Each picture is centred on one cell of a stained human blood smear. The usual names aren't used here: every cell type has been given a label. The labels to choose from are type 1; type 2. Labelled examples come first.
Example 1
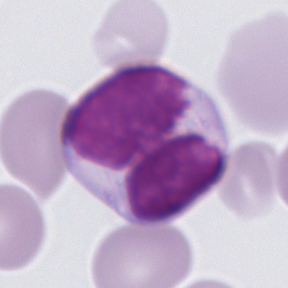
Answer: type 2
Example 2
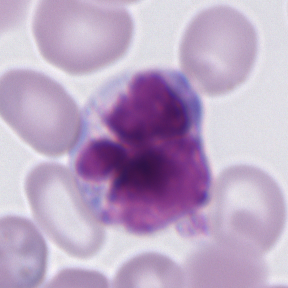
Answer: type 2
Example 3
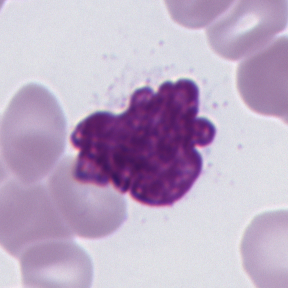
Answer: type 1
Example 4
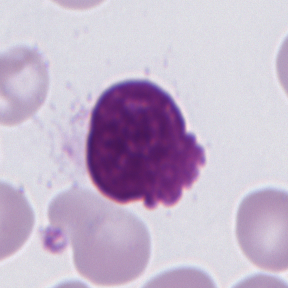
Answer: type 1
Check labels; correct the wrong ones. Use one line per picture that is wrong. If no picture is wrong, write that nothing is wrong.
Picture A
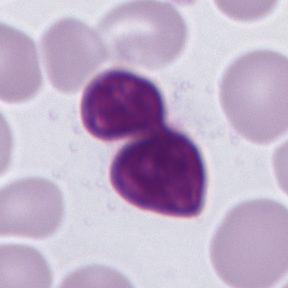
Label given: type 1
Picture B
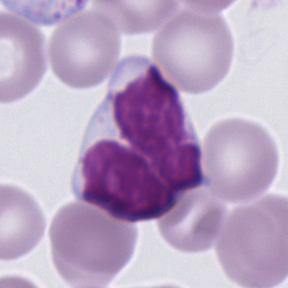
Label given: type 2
Nothing to fix; every label fits.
